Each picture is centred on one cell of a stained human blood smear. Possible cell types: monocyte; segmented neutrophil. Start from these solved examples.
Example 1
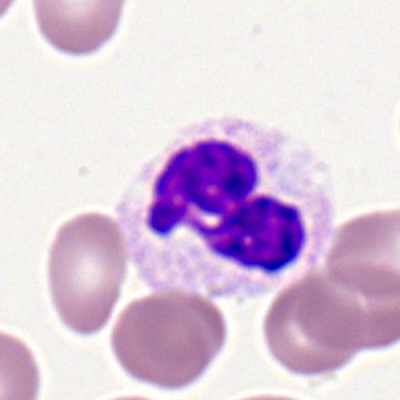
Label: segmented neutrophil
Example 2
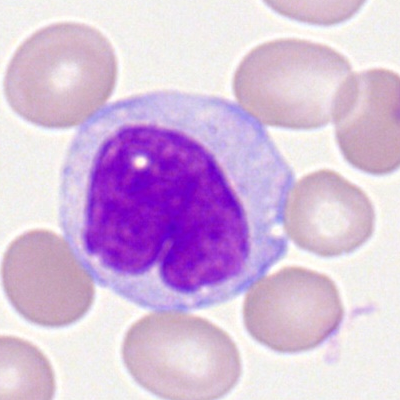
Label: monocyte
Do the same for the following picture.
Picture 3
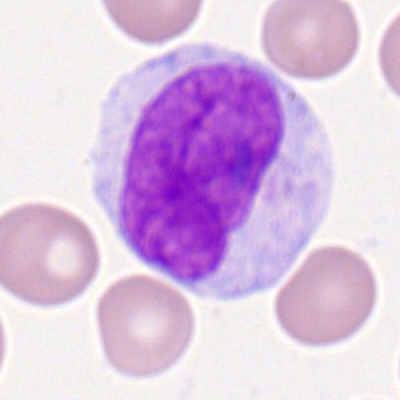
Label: monocyte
